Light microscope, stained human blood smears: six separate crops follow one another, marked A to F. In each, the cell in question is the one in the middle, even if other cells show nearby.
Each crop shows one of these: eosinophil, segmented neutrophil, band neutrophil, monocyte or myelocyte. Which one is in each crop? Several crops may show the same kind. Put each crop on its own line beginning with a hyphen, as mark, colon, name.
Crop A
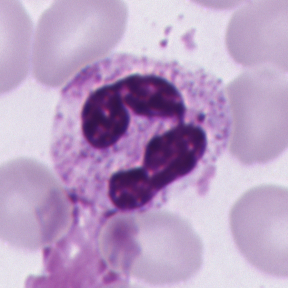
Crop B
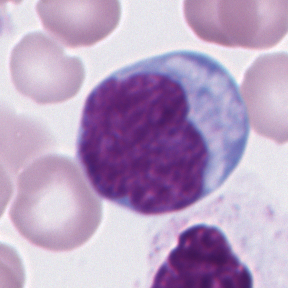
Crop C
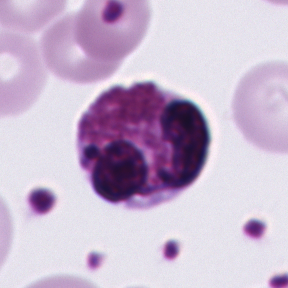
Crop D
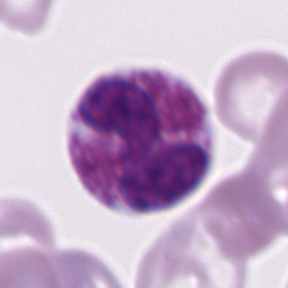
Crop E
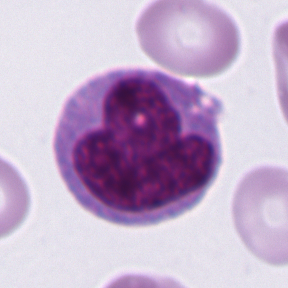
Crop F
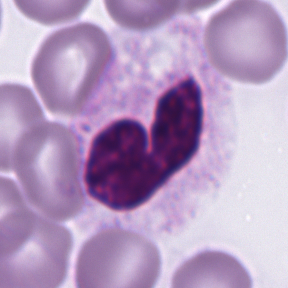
- A: segmented neutrophil
- B: monocyte
- C: eosinophil
- D: eosinophil
- E: monocyte
- F: band neutrophil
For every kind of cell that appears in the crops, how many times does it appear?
monocyte: 2
eosinophil: 2
segmented neutrophil: 1
band neutrophil: 1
